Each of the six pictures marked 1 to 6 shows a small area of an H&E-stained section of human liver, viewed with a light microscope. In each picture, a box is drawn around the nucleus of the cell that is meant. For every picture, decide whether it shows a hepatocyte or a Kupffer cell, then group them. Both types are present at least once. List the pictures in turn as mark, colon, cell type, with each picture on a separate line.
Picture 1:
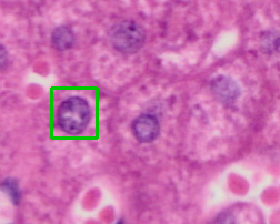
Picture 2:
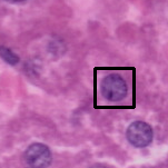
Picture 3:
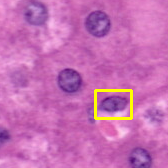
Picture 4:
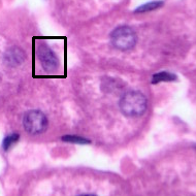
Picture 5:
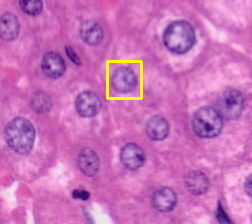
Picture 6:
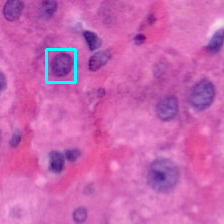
1: hepatocyte
2: hepatocyte
3: Kupffer cell
4: Kupffer cell
5: hepatocyte
6: hepatocyte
